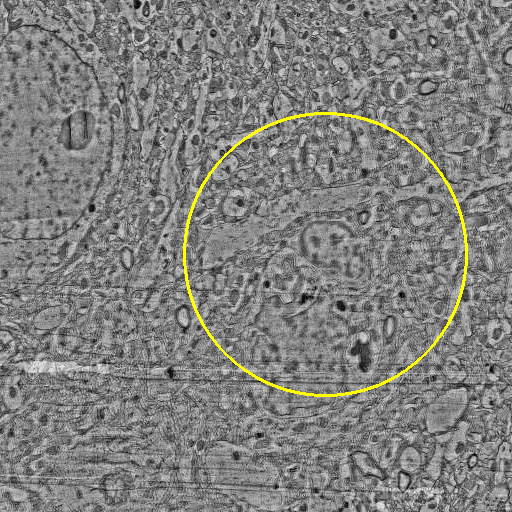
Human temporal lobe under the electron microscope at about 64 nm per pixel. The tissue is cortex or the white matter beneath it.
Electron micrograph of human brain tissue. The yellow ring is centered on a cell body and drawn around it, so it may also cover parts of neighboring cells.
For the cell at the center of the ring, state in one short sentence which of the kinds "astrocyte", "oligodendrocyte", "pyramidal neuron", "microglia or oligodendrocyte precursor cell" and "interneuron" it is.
This ring is centered on a microglial cell or oligodendrocyte precursor cell.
